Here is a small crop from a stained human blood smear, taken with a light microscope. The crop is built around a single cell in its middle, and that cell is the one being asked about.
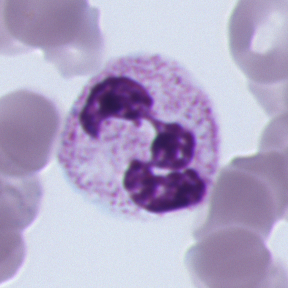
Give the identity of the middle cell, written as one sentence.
The centrally located cell in the crop is a segmented neutrophil.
